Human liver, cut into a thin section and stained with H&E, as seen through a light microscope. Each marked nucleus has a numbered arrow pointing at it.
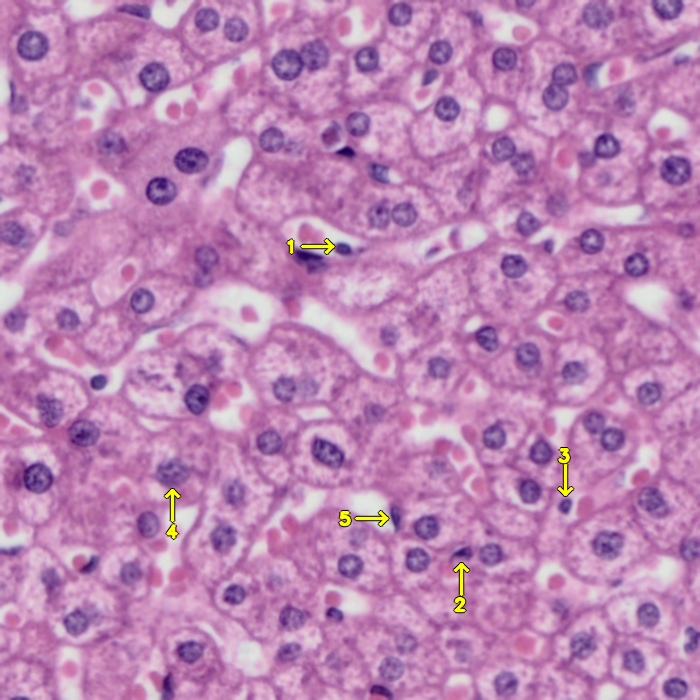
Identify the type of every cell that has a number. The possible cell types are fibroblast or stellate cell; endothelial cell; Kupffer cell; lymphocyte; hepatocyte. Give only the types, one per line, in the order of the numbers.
lymphocyte
endothelial cell
lymphocyte
hepatocyte
endothelial cell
